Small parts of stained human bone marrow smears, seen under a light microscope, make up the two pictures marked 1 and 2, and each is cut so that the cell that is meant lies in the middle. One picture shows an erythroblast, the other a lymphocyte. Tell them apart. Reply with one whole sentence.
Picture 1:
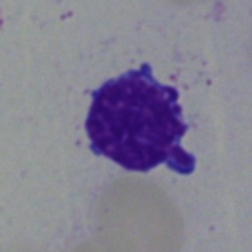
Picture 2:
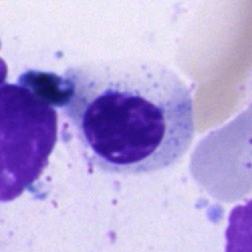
Picture 1 shows a lymphocyte and picture 2 shows an erythroblast.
